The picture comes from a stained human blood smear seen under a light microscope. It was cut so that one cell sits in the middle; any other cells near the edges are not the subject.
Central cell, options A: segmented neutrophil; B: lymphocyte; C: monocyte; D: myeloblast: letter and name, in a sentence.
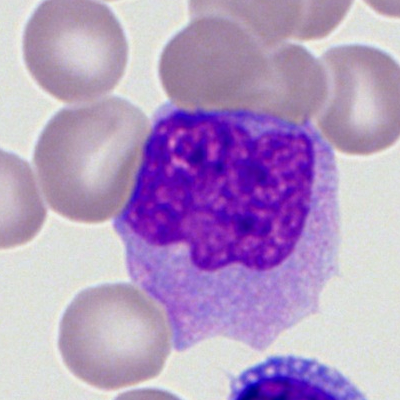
Here the central cell is a monocyte, and option C is correct.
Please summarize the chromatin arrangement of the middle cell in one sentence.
Its chromatin is clumped in a coarse pattern.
